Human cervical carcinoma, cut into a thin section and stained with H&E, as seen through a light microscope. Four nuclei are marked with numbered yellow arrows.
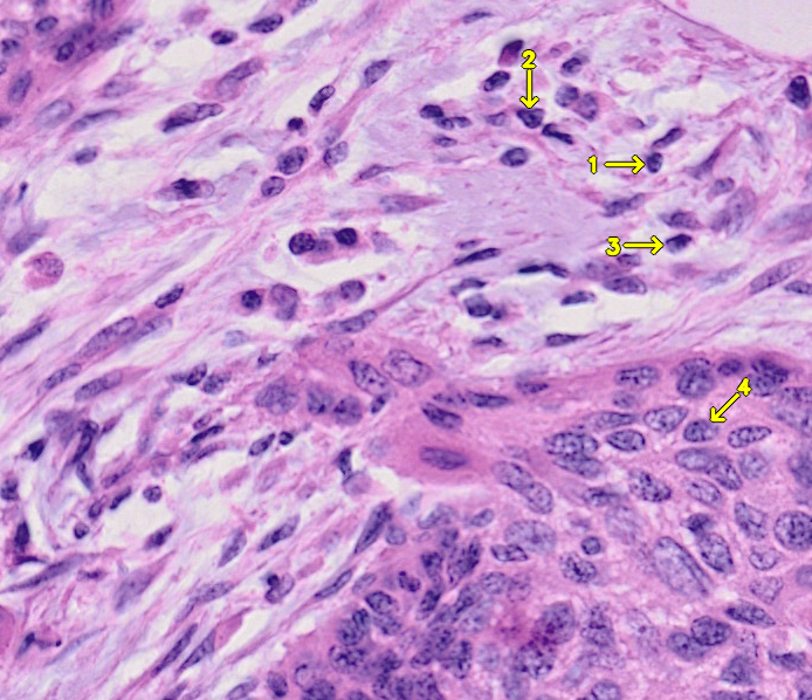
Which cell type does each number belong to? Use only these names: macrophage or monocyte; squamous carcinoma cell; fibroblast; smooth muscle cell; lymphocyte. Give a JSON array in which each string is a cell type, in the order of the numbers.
["lymphocyte", "lymphocyte", "lymphocyte", "squamous carcinoma cell"]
